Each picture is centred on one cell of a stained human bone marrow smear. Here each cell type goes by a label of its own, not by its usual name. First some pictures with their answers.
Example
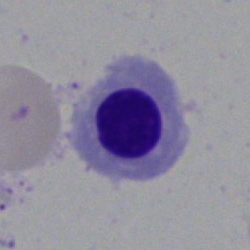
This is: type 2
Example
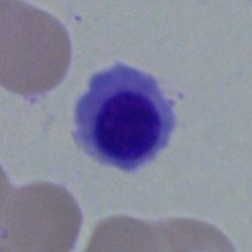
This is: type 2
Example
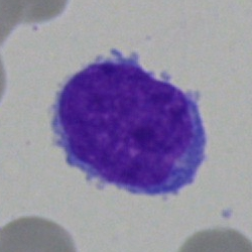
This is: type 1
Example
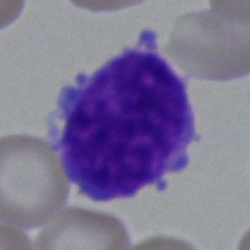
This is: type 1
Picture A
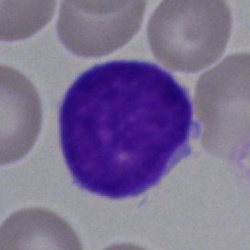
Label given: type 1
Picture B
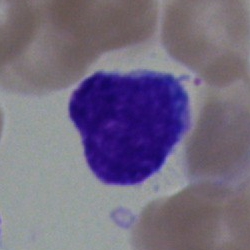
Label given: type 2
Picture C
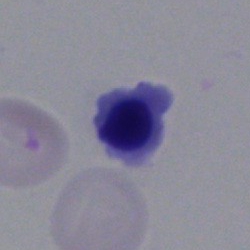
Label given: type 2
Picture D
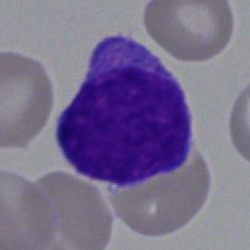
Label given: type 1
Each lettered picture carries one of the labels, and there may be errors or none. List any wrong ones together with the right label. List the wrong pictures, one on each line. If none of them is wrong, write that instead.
B: not type 2 but type 1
